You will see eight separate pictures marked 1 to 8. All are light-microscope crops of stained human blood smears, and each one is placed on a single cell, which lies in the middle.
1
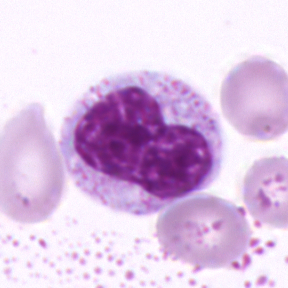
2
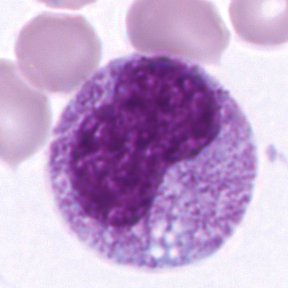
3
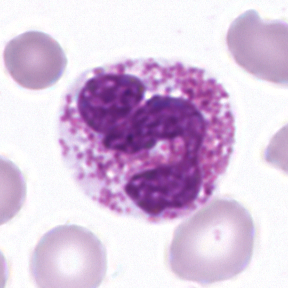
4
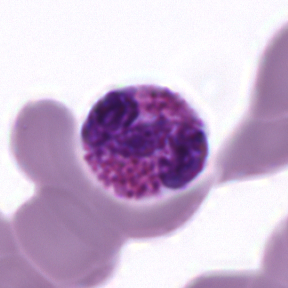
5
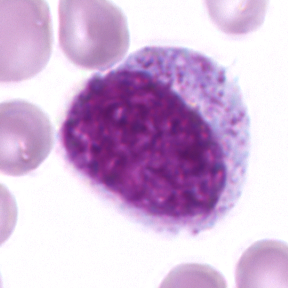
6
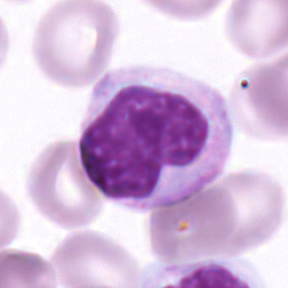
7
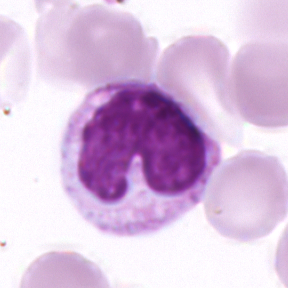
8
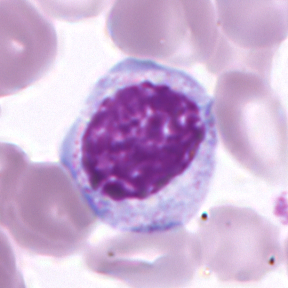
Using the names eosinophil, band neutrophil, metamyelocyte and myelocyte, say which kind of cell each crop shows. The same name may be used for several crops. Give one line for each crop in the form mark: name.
1: metamyelocyte
2: myelocyte
3: eosinophil
4: eosinophil
5: myelocyte
6: metamyelocyte
7: band neutrophil
8: myelocyte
